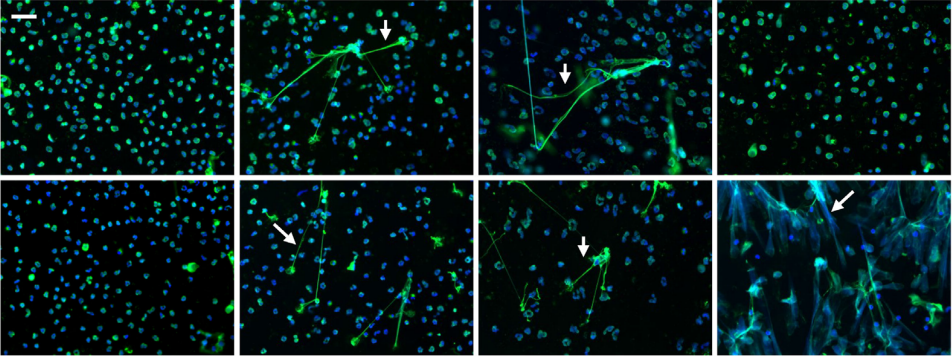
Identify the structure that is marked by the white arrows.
Neutrophil extracellular trap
